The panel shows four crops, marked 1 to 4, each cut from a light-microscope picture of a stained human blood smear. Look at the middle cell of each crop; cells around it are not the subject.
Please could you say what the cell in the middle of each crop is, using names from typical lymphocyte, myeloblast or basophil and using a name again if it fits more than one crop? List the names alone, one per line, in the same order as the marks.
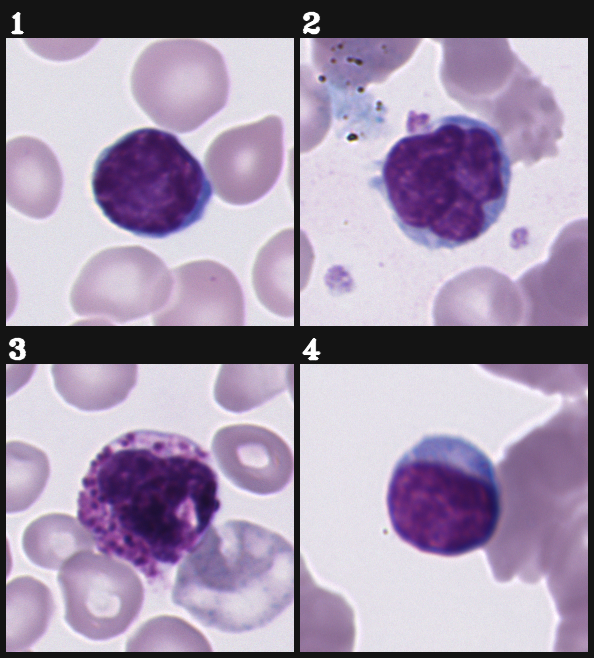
typical lymphocyte
typical lymphocyte
basophil
typical lymphocyte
